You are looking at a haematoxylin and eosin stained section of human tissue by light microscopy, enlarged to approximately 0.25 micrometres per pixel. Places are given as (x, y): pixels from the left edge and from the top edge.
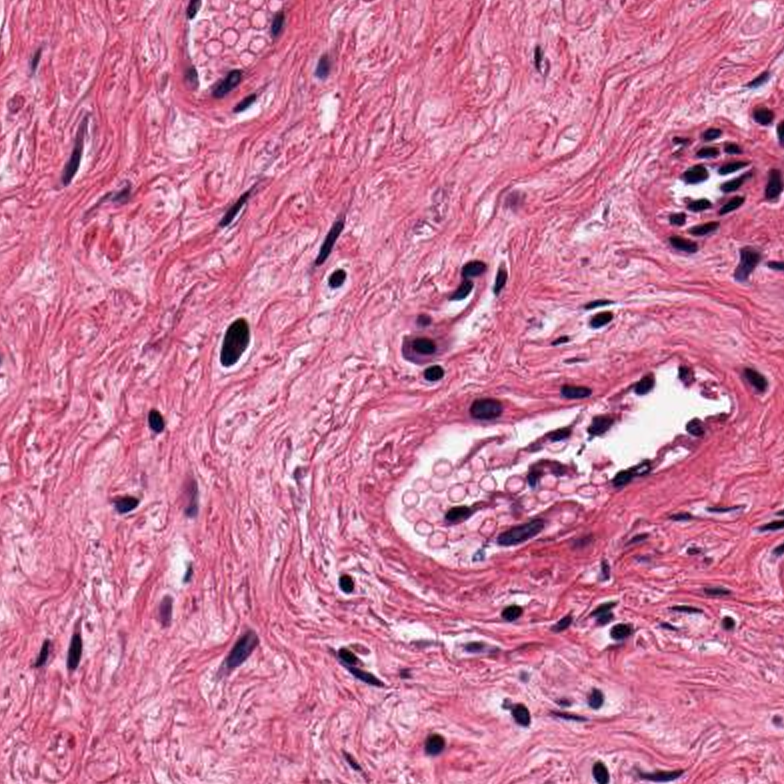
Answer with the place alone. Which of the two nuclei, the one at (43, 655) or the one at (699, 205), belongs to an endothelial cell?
(699, 205)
